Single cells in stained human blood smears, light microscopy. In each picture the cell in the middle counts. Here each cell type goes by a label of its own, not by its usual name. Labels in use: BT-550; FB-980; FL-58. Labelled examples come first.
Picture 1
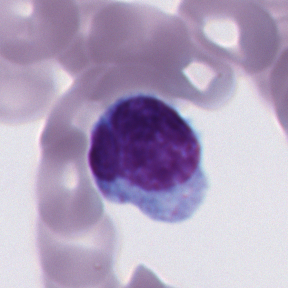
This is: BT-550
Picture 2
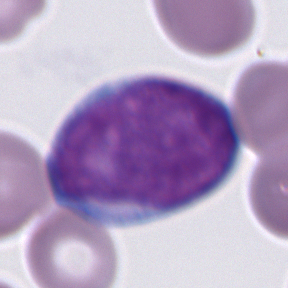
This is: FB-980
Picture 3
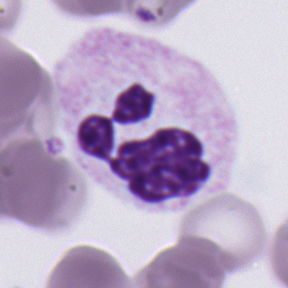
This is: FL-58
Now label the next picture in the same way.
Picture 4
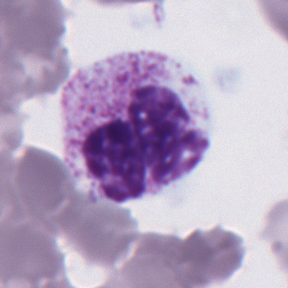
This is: FL-58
